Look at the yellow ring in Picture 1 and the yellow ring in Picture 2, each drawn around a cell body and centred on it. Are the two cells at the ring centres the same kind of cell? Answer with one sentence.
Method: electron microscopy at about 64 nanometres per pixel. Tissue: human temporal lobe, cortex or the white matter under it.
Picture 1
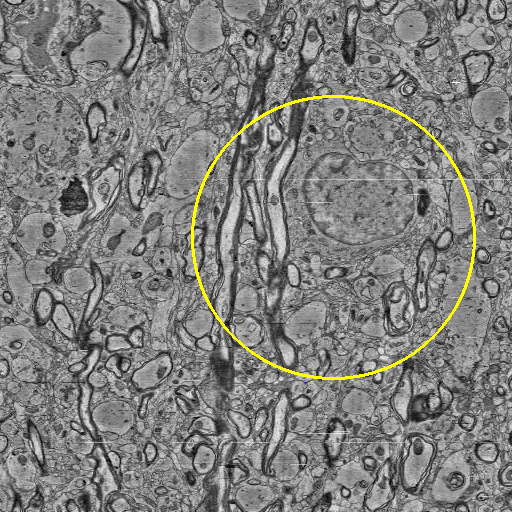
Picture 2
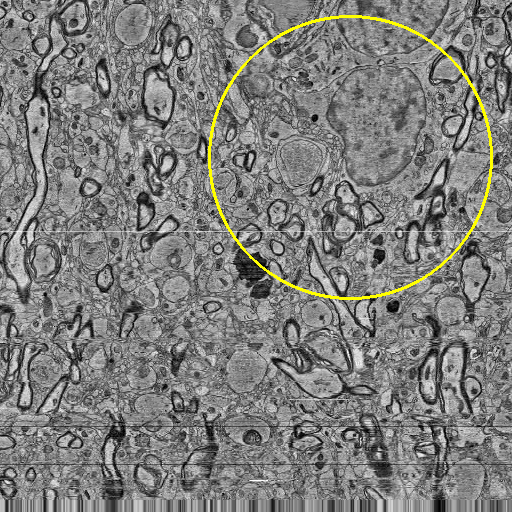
Yes, both are the same kind of cell.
